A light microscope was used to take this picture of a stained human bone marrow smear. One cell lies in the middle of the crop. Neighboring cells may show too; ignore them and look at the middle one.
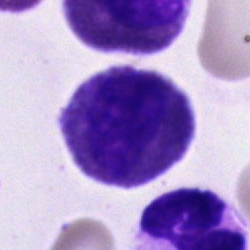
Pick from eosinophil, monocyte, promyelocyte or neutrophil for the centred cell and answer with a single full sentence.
The cell at the middle of the crop is recognized as an eosinophil.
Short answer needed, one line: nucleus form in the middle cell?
The nucleus holds together as a single compact mass, round, oval or kidney-like.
